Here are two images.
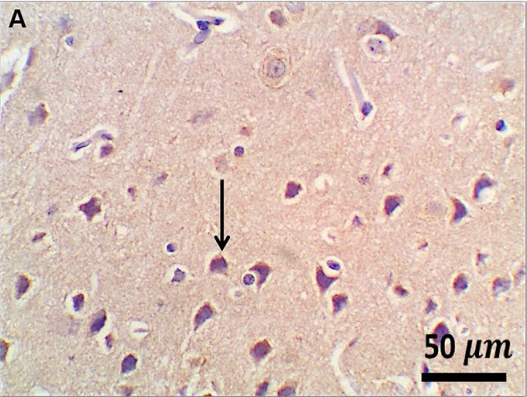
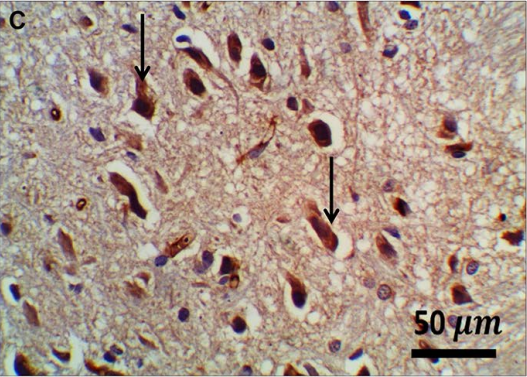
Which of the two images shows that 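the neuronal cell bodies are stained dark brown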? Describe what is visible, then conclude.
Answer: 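Second image: many cell bodies are intensely dark brown. First image: cell bodies are mostly purple-blue with at most faint brown tint. So: the second image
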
